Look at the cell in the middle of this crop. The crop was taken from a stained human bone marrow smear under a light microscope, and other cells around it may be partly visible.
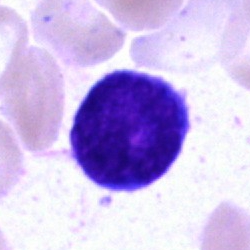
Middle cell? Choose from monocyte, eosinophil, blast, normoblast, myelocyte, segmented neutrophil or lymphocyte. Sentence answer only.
The cell featured at the centre of this crop is a blast.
